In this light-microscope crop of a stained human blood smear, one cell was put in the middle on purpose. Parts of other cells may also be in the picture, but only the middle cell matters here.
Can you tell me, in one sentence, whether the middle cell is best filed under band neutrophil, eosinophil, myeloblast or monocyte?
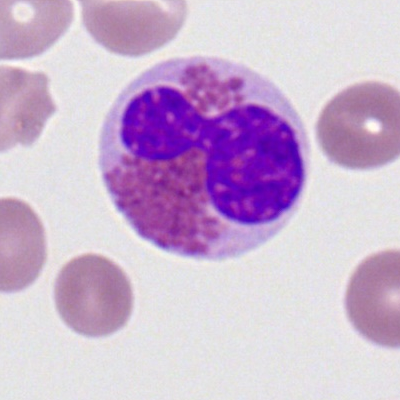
The middle cell in this particular crop is an eosinophil.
